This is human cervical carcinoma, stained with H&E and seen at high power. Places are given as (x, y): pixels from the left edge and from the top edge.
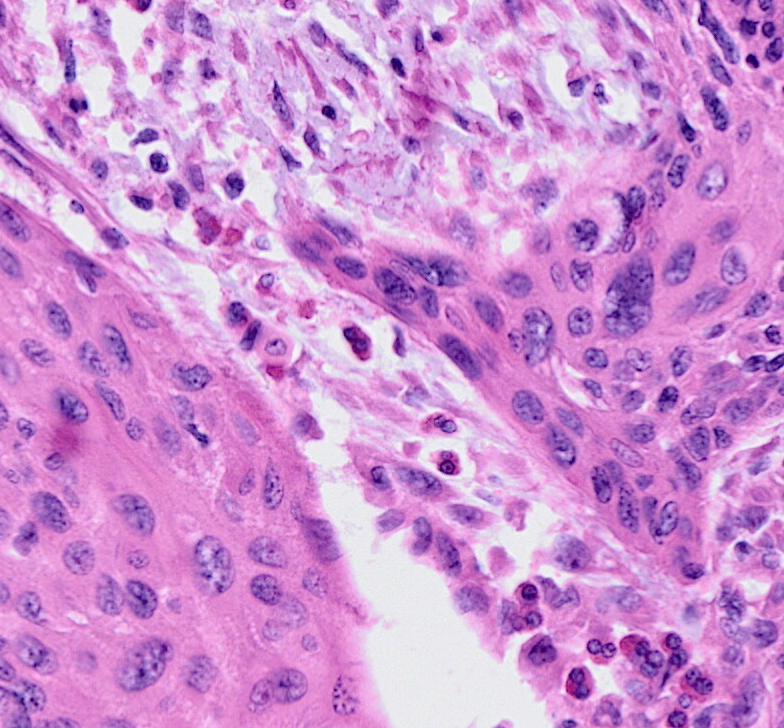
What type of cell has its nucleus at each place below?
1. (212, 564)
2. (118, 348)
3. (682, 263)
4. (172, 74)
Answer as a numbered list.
1. squamous carcinoma cell
2. squamous carcinoma cell
3. squamous carcinoma cell
4. fibroblast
